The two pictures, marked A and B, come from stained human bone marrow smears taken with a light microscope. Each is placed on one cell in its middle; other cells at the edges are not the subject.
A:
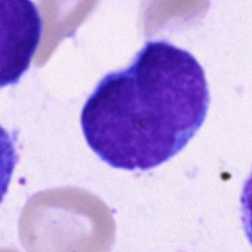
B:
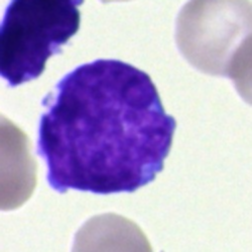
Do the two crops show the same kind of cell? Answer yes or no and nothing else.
yes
